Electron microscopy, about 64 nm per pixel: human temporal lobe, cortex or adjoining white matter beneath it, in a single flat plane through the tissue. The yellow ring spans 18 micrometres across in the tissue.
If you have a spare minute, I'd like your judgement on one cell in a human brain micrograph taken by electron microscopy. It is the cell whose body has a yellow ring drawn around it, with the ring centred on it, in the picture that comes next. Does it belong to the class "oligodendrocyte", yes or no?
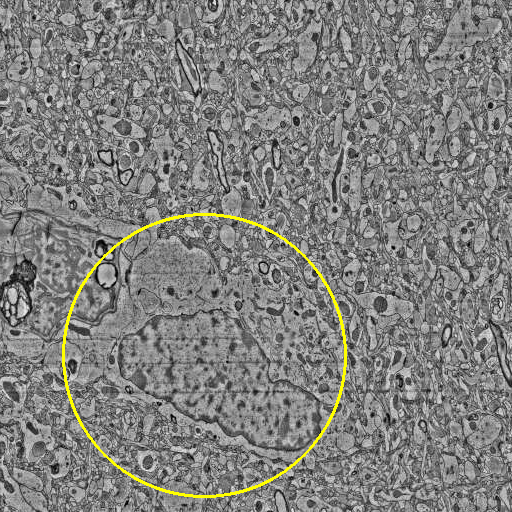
No, it belongs to another class.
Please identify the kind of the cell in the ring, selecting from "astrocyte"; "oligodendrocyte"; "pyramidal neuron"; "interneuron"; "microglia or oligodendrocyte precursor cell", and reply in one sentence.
Instead, the cell at the centre of the yellow ring is a microglial cell or oligodendrocyte precursor cell.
